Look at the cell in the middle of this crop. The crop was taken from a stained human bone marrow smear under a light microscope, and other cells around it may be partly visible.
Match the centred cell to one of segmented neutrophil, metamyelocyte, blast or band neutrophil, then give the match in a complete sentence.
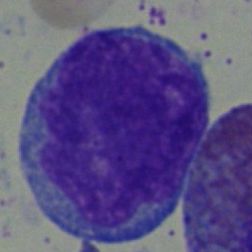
As for the cell in the middle, it is a blast.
